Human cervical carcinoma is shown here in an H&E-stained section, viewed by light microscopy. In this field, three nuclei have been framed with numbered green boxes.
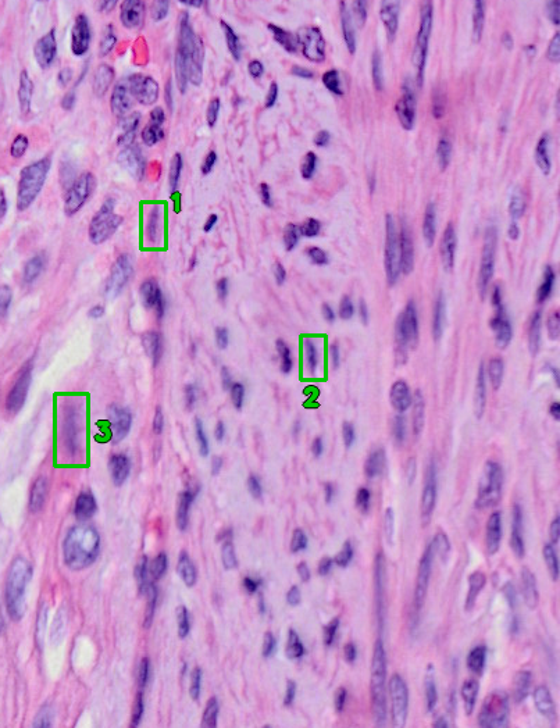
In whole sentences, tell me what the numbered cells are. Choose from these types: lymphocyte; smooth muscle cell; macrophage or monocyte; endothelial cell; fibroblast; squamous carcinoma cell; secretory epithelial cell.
Cells 1 and 3 are endothelial cells. Cell 2 is a fibroblast.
